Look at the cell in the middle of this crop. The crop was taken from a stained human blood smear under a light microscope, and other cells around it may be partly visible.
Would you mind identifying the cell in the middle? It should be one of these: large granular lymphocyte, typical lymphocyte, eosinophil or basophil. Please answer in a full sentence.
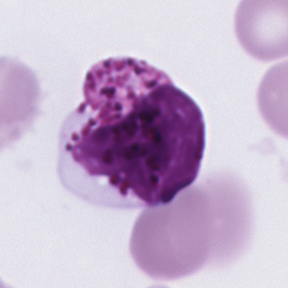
The central cell, amid any neighbouring cells, is a basophil.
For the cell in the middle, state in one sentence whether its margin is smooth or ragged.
The membrane contour is even and smooth, with nothing projecting from it.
